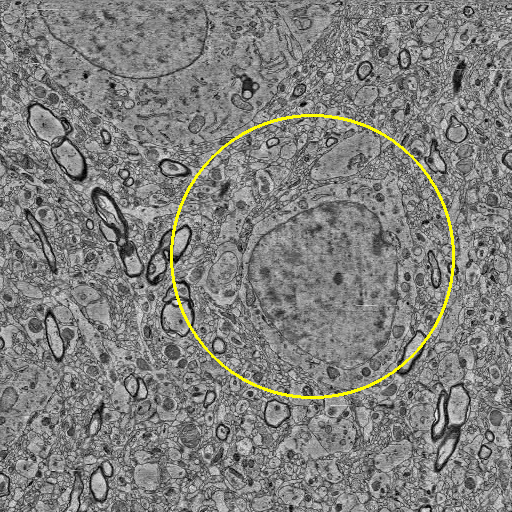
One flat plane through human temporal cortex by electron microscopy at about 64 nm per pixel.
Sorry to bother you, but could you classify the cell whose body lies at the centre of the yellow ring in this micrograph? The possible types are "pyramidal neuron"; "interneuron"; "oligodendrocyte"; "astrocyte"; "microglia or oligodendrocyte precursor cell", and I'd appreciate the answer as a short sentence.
The ringed cell body is that of an interneuron.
